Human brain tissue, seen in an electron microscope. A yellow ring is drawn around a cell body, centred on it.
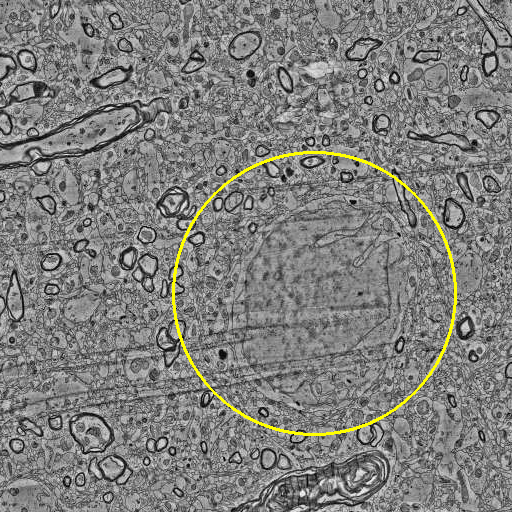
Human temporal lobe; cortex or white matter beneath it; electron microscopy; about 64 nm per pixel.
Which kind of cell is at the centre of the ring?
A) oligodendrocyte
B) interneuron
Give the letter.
B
